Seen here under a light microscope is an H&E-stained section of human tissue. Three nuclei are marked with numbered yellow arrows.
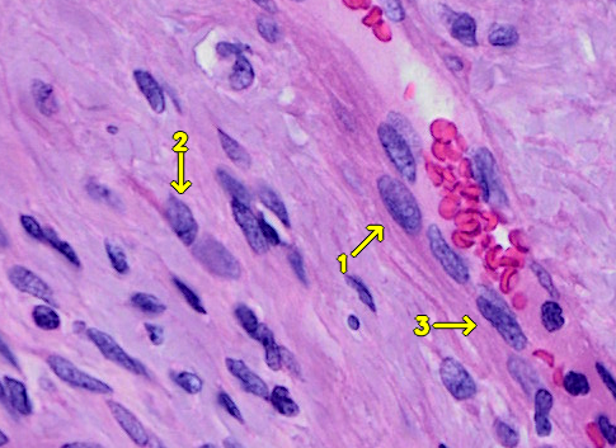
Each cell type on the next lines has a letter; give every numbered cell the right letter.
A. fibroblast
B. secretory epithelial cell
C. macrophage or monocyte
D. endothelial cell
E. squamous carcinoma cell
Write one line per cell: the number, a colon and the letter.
1: D
2: A
3: D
